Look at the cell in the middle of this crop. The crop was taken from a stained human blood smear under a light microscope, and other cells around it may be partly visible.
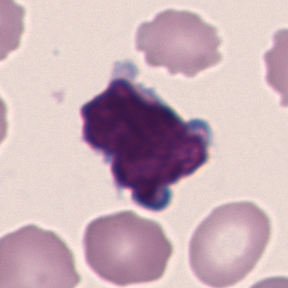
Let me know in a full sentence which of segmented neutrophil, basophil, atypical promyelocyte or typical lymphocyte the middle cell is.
As for the central cell, it is a typical lymphocyte.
